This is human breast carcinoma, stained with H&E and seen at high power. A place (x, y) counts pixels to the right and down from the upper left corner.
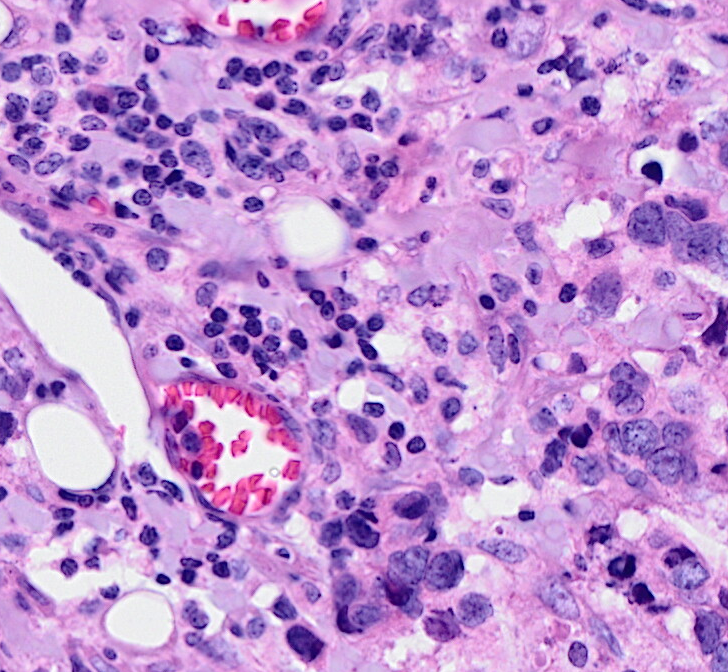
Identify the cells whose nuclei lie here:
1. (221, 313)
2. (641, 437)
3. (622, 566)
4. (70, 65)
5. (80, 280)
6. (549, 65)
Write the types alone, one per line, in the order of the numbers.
lymphocyte
carcinoma cell
carcinoma cell
lymphocyte
lymphocyte
lymphocyte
